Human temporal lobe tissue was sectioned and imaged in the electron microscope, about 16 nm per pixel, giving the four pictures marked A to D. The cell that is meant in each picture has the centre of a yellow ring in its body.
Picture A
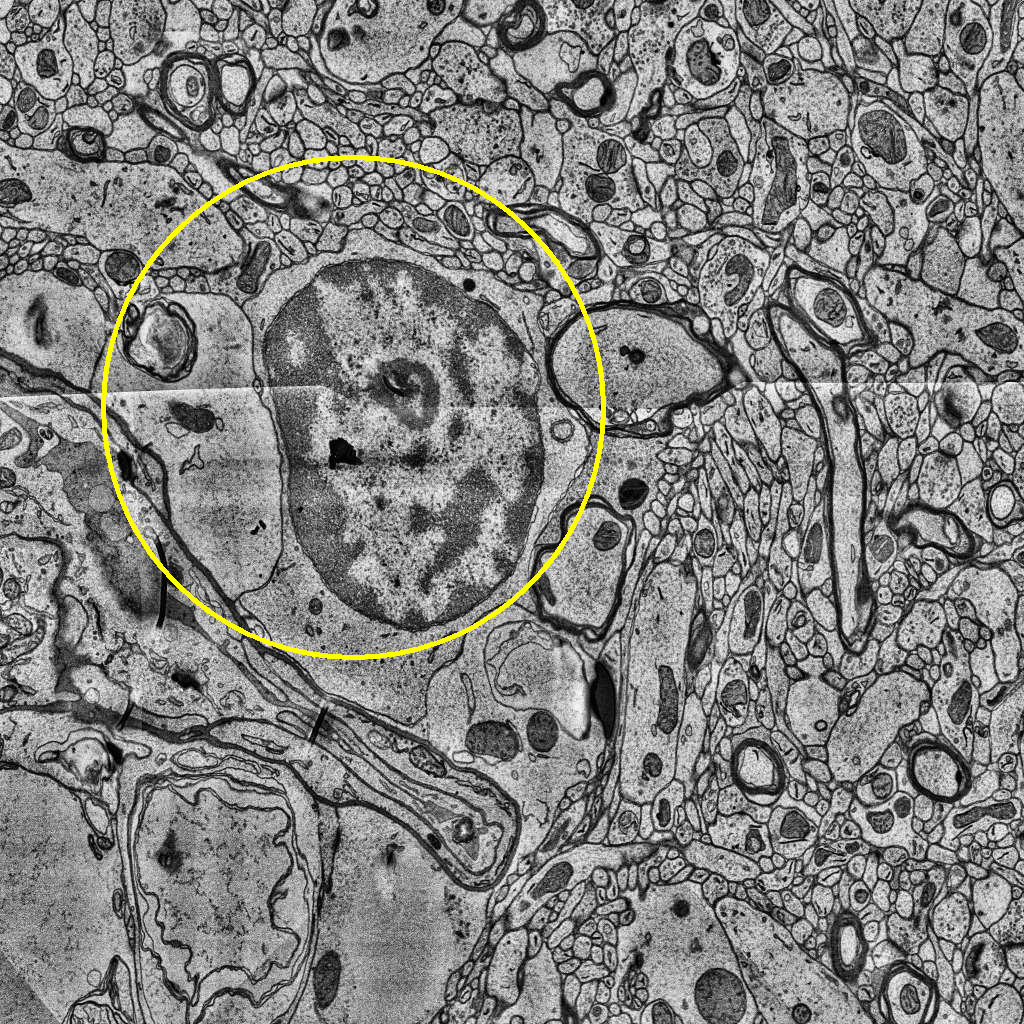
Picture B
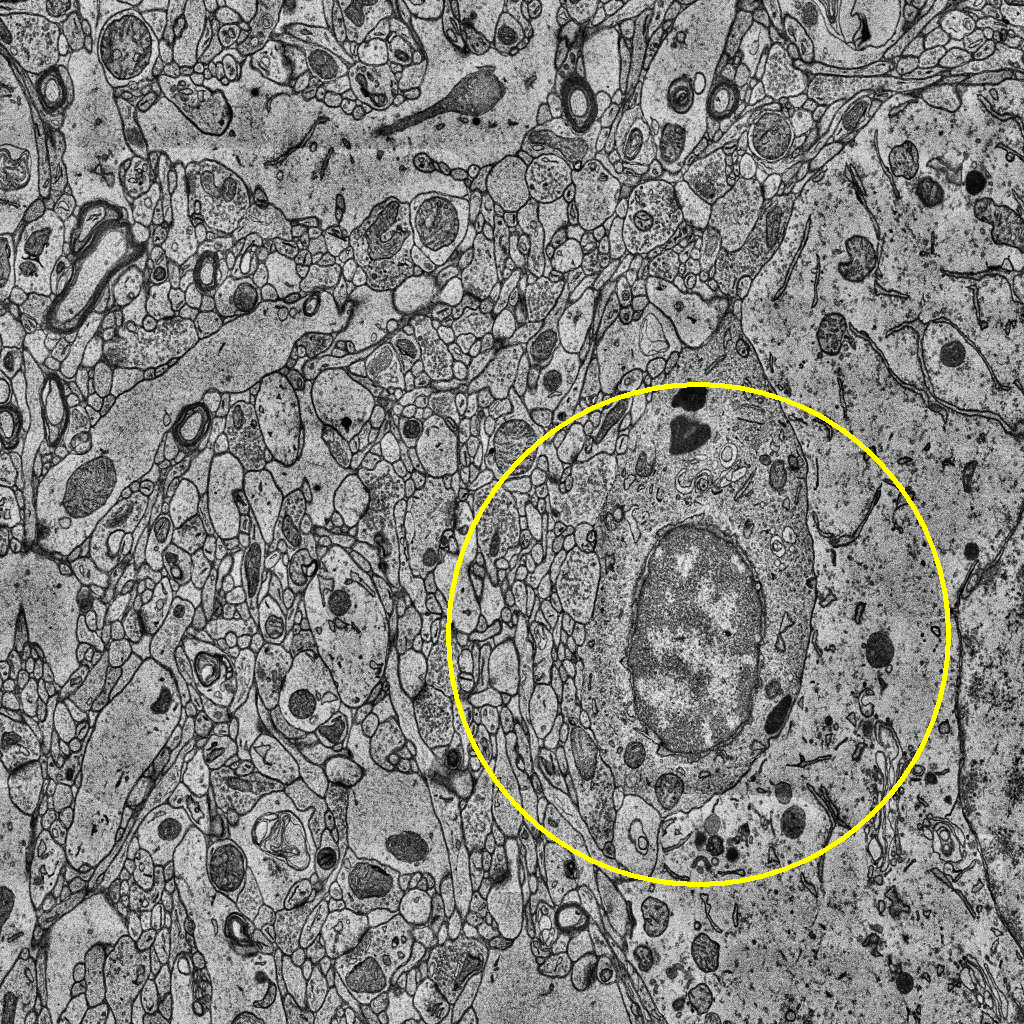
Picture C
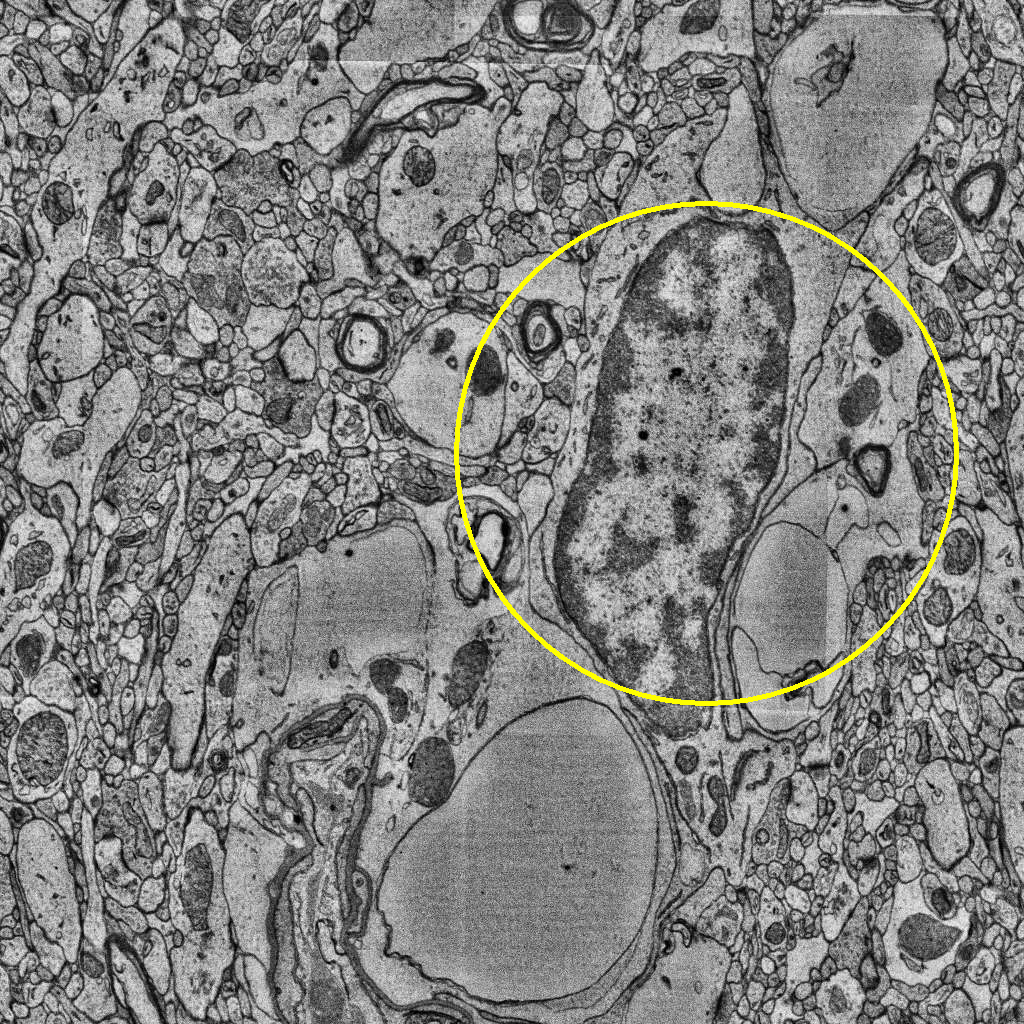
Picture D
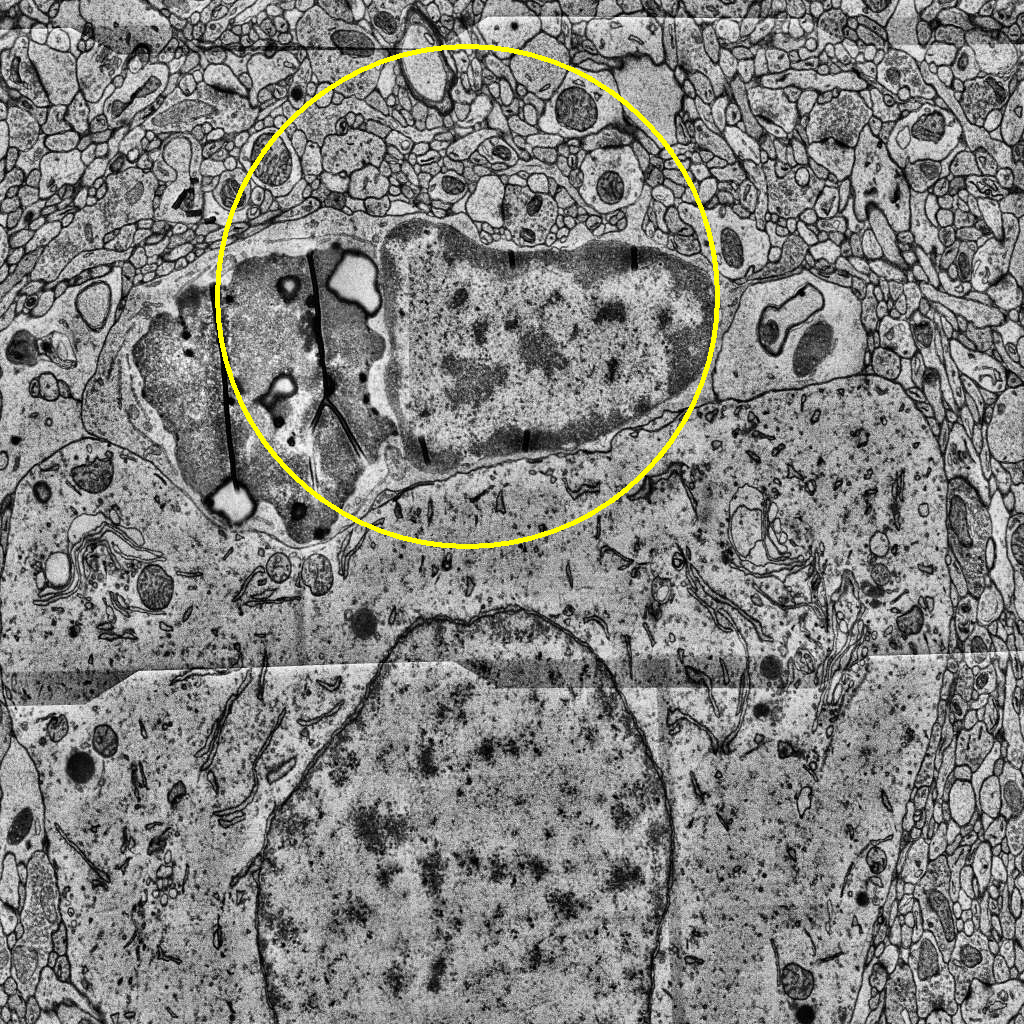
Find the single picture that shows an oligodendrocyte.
The picture with the oligodendrocyte is B.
